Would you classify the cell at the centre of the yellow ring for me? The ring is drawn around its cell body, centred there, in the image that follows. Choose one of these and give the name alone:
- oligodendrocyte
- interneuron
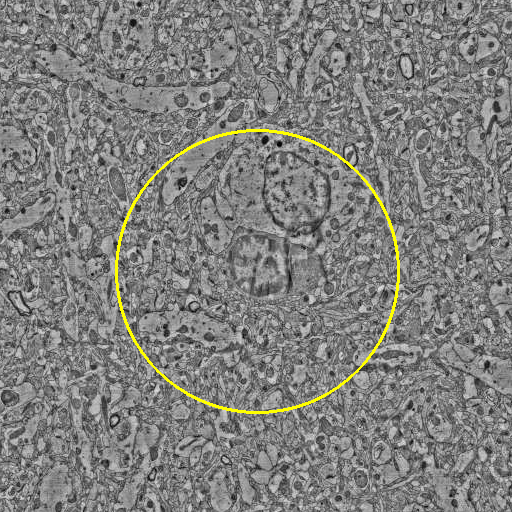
oligodendrocyte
